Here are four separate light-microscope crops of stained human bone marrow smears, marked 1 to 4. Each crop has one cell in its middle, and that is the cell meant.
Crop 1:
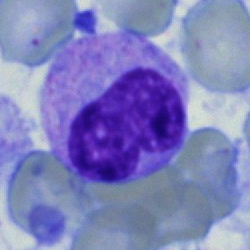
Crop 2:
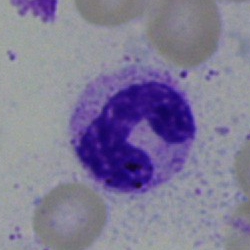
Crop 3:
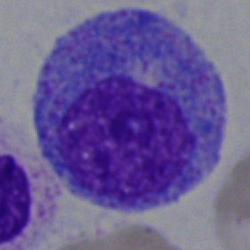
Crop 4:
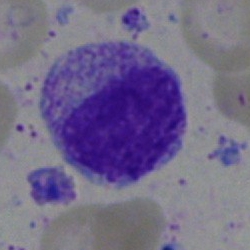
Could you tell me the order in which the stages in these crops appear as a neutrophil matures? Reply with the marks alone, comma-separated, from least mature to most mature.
3, 4, 1, 2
